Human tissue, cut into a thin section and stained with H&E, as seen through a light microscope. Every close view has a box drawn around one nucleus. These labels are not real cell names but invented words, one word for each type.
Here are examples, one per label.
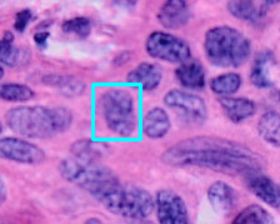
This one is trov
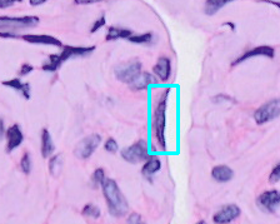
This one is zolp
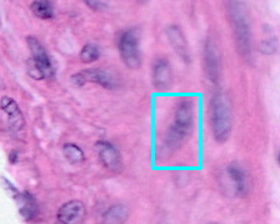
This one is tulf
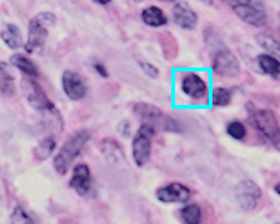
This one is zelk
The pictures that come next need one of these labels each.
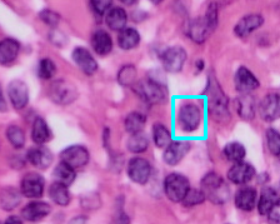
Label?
zelk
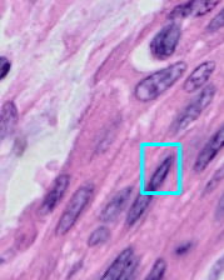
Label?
trov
